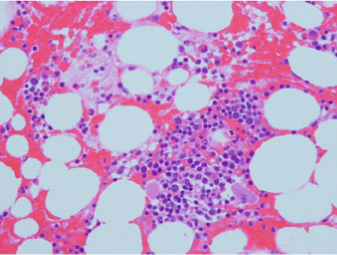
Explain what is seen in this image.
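This section of bone marrow shows many large, round, empty fat cell spaces of varying size filling much of the field. Between them lie cords and clusters of hematopoietic cells, mostly small round cells with dark purple nuclei and scant cytoplasm. Bright pink-red areas of blood are spread among the cell clusters and fat spaces. A few larger cells with more abundant pale cytoplasm are scattered within the cellular areas.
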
